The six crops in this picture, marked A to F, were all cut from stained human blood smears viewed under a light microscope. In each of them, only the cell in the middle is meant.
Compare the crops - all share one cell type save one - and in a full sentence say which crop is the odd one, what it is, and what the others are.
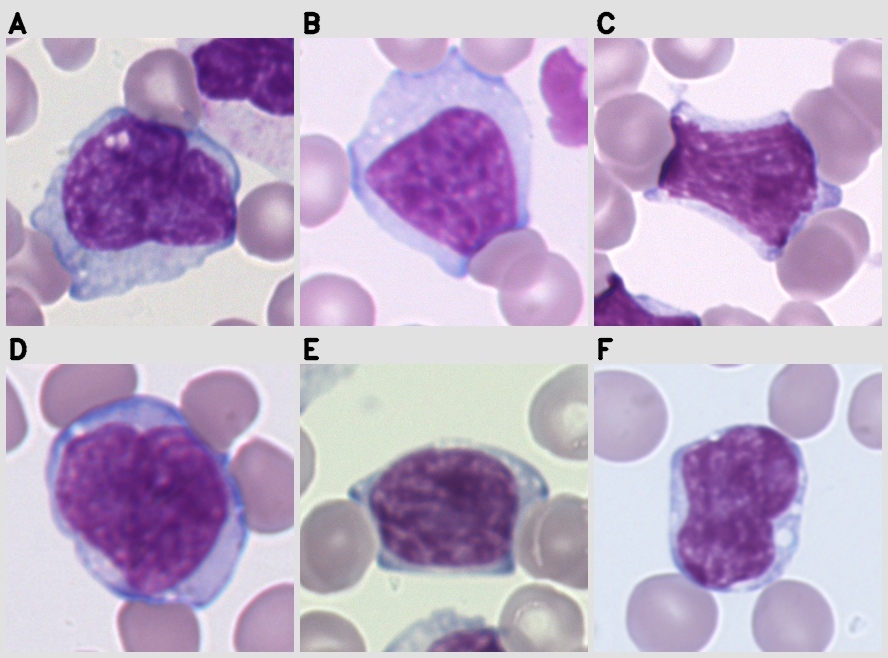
The crop that differs is crop C, showing a typical lymphocyte; the others show myeloblasts.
